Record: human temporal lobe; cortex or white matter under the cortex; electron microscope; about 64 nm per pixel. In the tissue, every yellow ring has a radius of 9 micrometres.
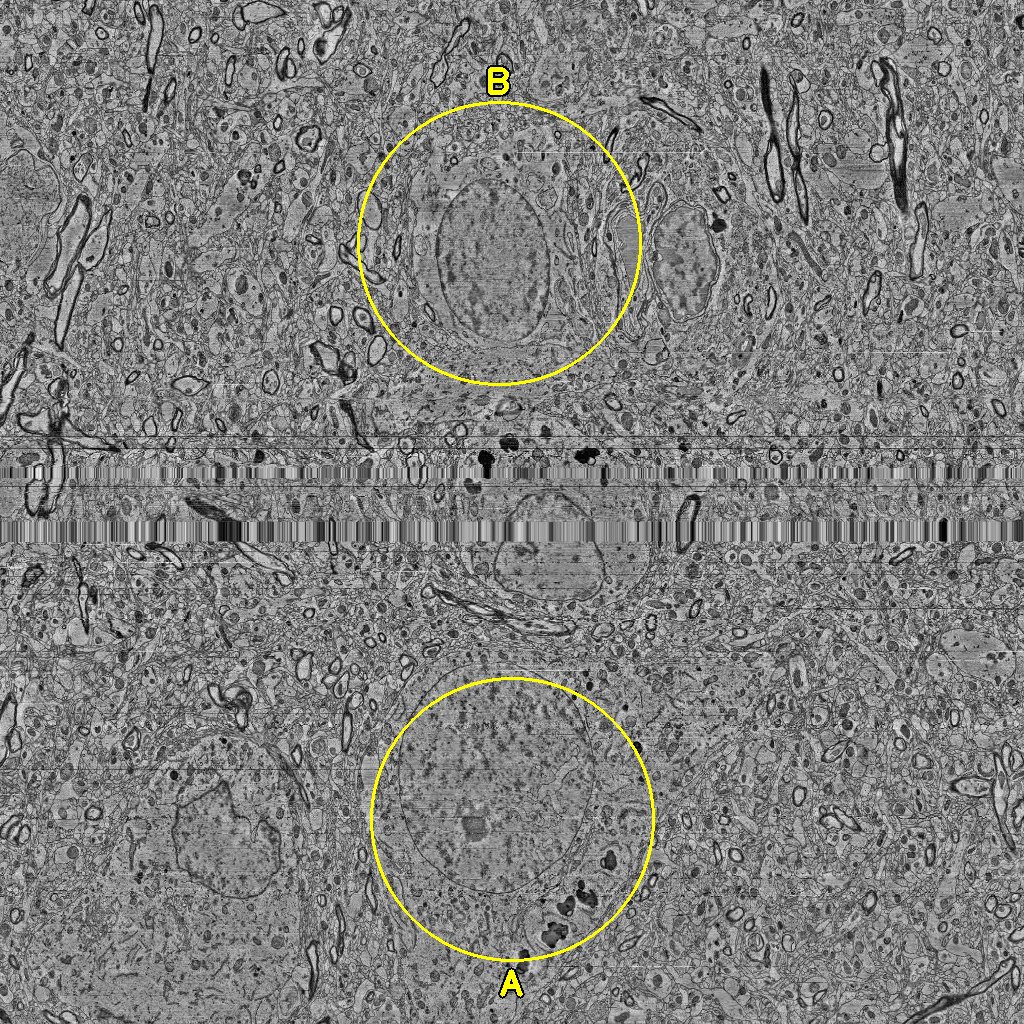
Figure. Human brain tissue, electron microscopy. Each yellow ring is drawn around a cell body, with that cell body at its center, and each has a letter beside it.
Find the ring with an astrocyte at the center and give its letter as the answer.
B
